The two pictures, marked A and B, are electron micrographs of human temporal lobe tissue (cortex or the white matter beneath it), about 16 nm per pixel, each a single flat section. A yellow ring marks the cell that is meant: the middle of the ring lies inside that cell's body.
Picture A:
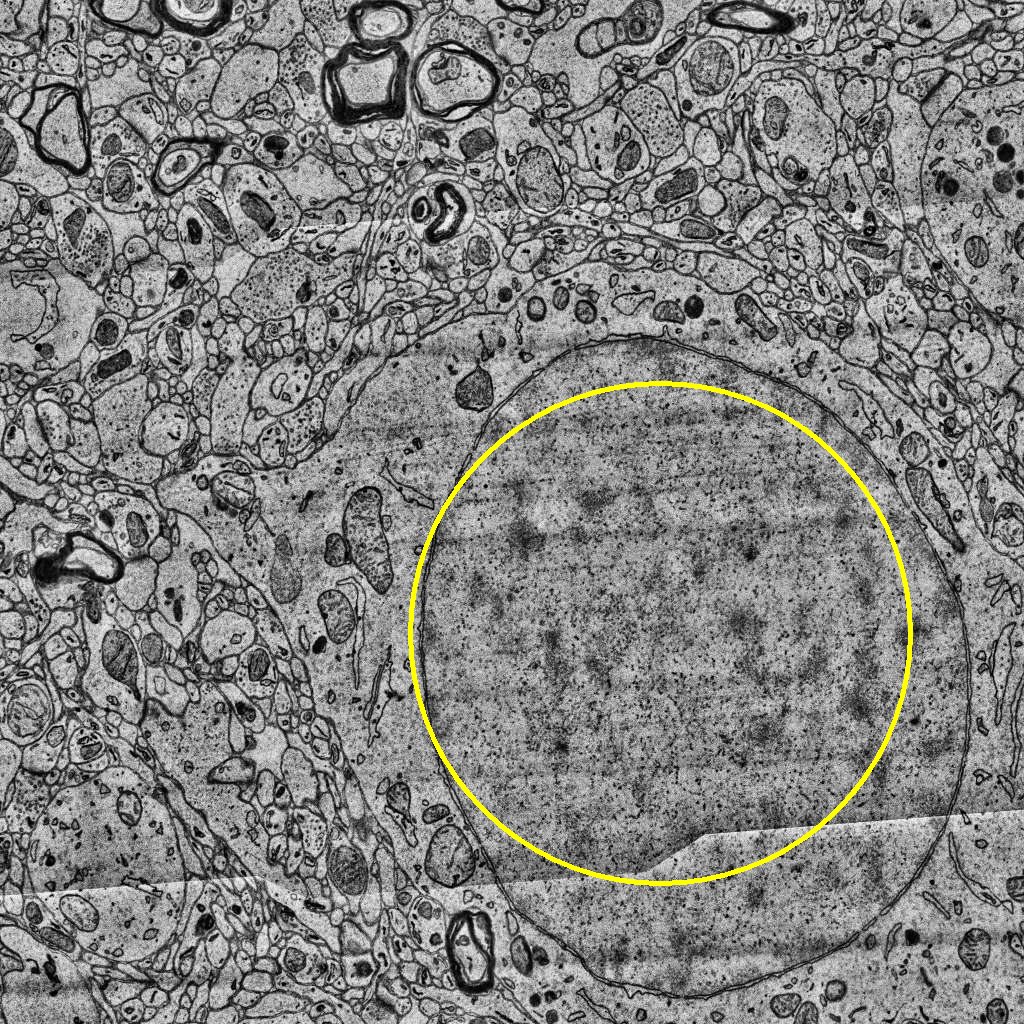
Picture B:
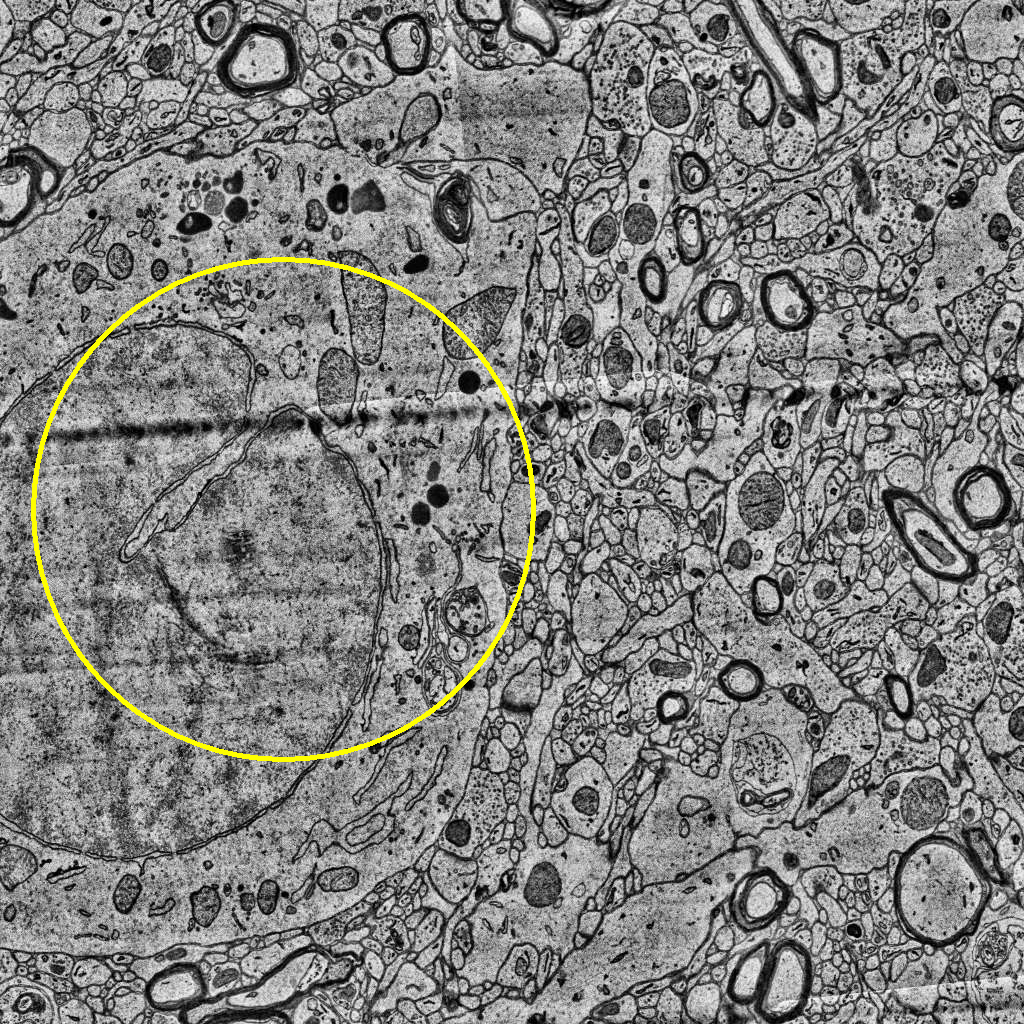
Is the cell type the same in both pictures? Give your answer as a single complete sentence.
Yes, they are the same type: both are interneurons.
